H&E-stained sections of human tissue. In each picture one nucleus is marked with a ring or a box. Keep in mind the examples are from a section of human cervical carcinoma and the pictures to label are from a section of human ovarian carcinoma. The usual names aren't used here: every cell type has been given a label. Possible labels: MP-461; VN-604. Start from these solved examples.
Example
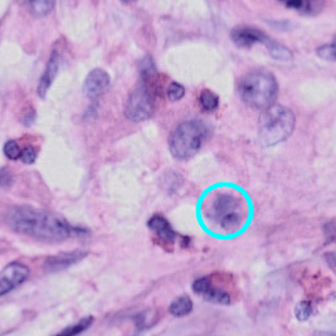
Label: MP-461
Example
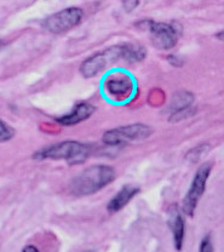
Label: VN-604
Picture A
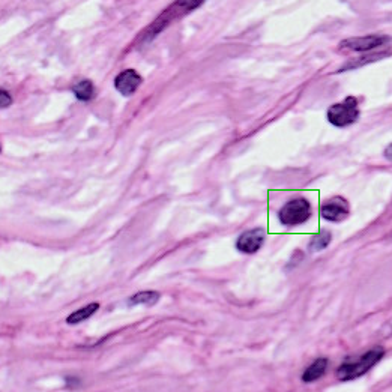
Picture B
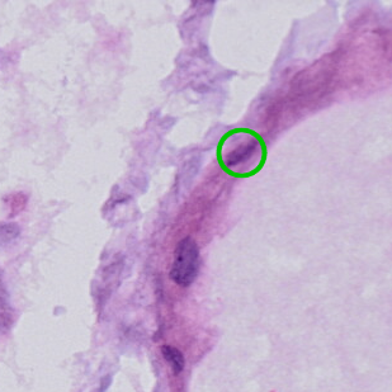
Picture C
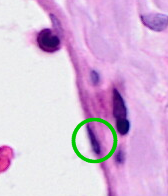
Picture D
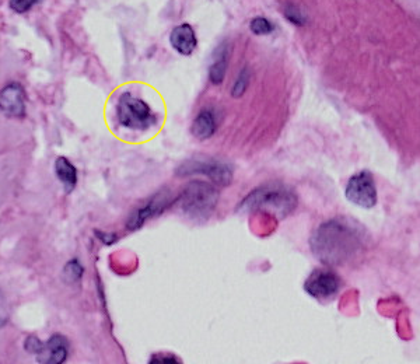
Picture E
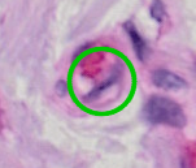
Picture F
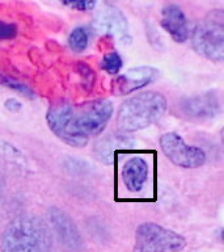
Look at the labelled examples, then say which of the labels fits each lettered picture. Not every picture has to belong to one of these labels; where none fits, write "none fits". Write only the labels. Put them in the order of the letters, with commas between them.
none fits, VN-604, VN-604, MP-461, VN-604, none fits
